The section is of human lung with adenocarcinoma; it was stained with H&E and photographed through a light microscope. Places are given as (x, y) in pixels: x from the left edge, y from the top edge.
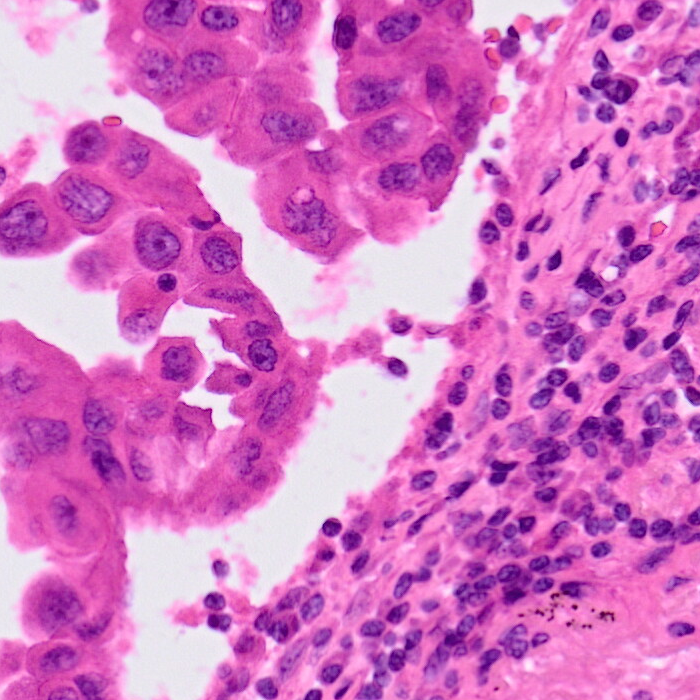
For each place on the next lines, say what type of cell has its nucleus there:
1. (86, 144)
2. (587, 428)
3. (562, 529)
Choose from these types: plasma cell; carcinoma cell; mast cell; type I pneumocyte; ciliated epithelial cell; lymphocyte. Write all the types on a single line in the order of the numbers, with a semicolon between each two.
carcinoma cell; lymphocyte; lymphocyte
